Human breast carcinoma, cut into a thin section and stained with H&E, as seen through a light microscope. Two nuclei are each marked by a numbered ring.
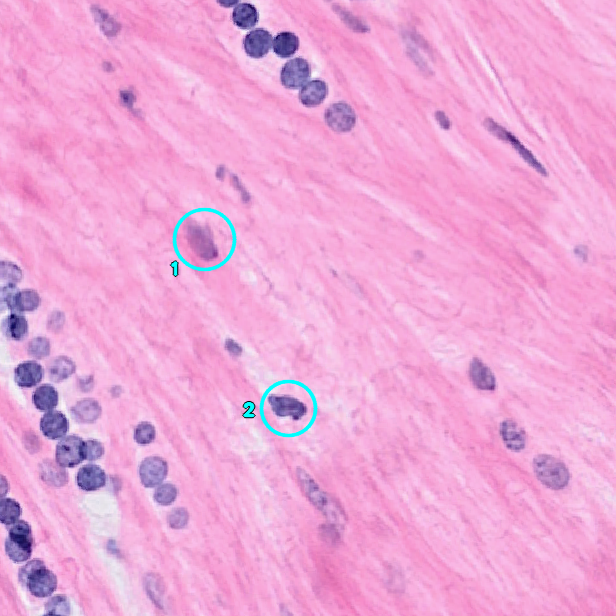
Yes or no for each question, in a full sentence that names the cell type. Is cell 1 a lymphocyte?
No, cell 1 is to be classed as a fibroblast, not a lymphocyte.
